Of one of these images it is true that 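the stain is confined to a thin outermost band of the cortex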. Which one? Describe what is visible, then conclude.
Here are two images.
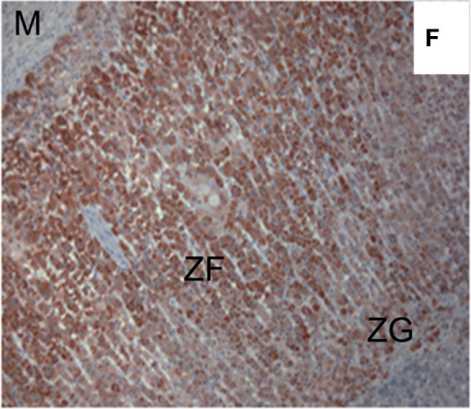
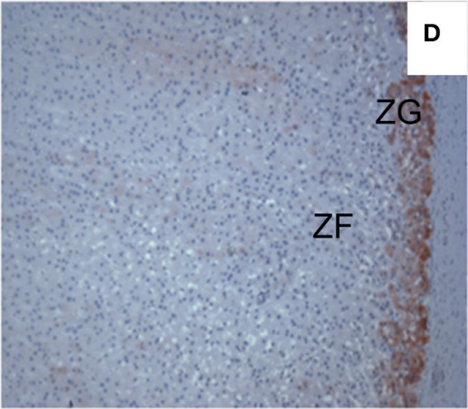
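The second image. First image: red-brown stain fills nearly the whole field of cortical cords. Second image: only a narrow band at the right edge is red-brown, the rest is pale blue.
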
